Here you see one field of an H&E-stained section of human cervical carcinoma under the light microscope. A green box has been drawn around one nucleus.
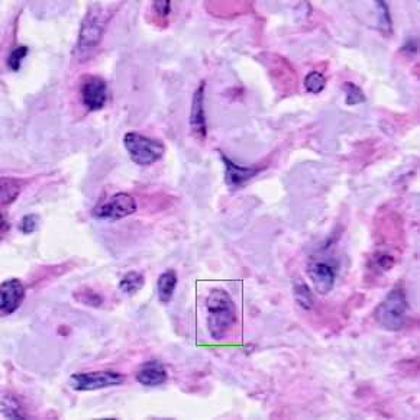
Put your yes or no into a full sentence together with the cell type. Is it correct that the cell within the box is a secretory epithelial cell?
No, as classified here, the cell within the box is a macrophage or monocyte and not a secretory epithelial cell.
